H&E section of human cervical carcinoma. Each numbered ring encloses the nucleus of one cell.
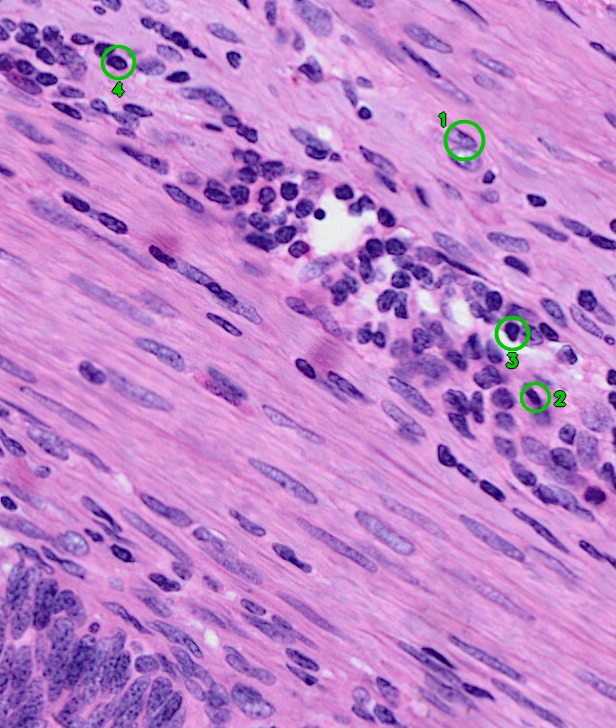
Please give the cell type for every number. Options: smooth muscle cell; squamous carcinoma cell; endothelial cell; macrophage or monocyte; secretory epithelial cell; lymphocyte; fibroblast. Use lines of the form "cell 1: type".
cell 1: endothelial cell
cell 2: lymphocyte
cell 3: lymphocyte
cell 4: lymphocyte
